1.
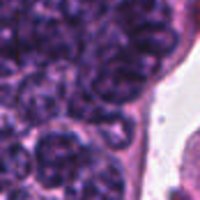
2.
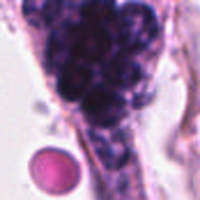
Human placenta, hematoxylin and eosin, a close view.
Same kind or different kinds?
Same: syncytial knots.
